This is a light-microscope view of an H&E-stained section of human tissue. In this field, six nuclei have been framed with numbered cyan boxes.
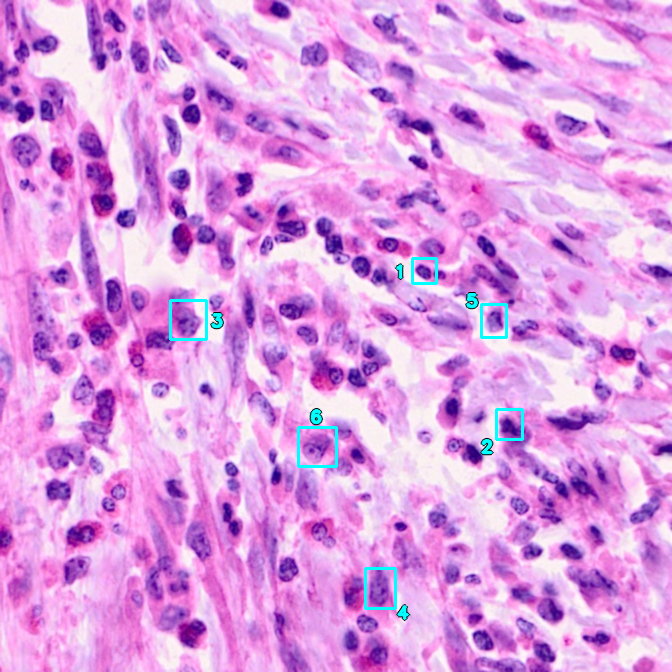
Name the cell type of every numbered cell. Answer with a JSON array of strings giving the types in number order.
["lymphocyte", "lymphocyte", "macrophage or monocyte", "macrophage or monocyte", "lymphocyte", "macrophage or monocyte"]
